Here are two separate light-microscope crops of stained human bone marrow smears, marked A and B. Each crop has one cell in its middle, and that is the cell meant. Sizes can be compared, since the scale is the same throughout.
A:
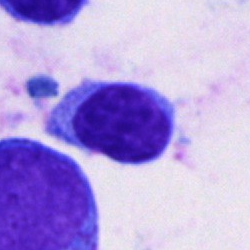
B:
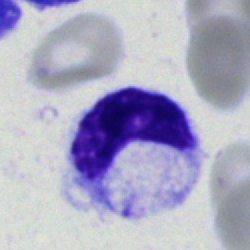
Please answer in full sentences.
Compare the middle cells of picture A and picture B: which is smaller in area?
Picture A holds the smaller cell, since the cell in picture B covers about 1.5 times as much area.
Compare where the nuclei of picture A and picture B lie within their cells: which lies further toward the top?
It is the nucleus in picture B that lies further toward the top of its cell.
